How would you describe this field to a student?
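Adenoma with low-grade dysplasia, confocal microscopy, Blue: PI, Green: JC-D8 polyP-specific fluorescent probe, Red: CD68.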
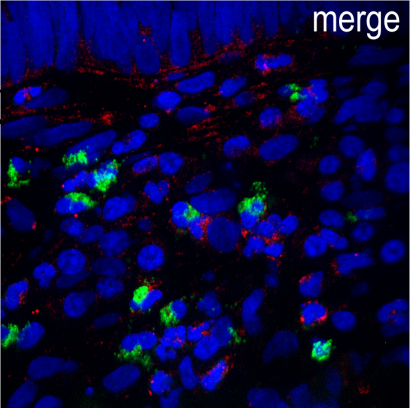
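A line of fine red dots runs along the base of the epithelium, and fine red dots are also scattered through the stroma below. In the stroma, round and oval nuclei lie among several cells that carry bright green clumps in their cytoplasm, sitting beside the nucleus.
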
